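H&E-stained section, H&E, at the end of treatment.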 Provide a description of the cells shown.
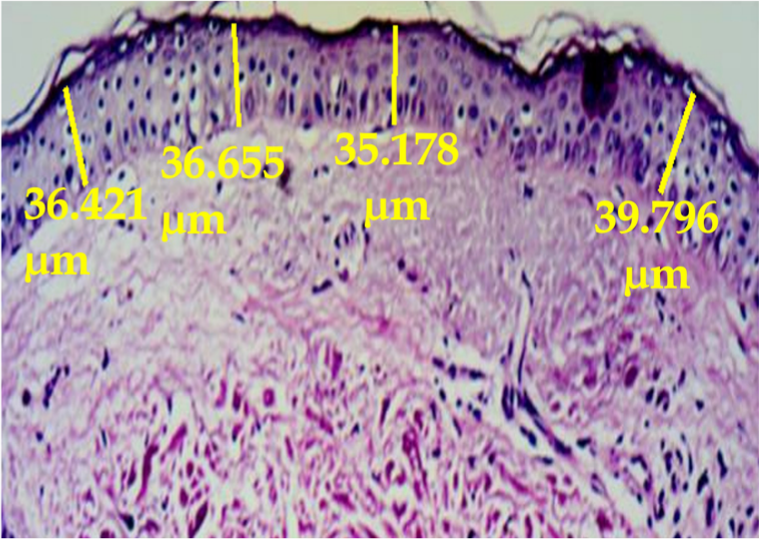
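This section of skin shows a broad epidermis made of many stacked rows of cells with round dark purple nuclei, covered at the surface by a thin, dark, wavy cornified line. Beneath it the dermis stains pale pink, with fine fibres, scattered dark nuclei and a few small vessels.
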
